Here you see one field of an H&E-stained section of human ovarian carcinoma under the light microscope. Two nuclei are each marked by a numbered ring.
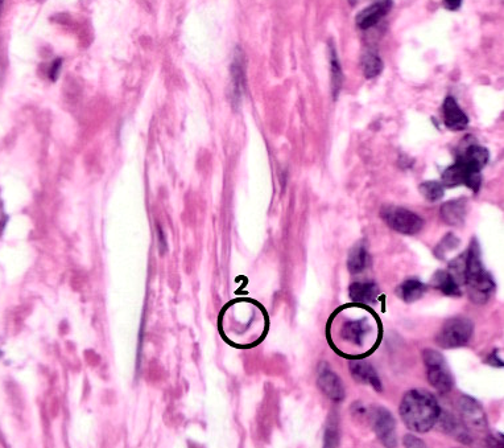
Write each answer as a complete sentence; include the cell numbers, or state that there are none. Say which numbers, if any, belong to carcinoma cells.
Across all the numbered cells, only number 1 is a carcinoma cell.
